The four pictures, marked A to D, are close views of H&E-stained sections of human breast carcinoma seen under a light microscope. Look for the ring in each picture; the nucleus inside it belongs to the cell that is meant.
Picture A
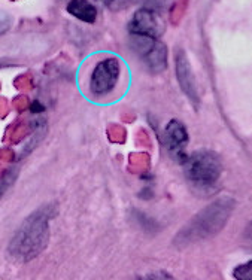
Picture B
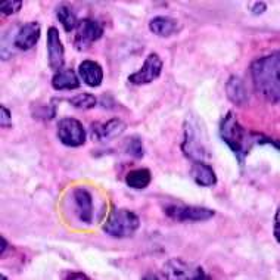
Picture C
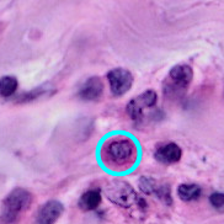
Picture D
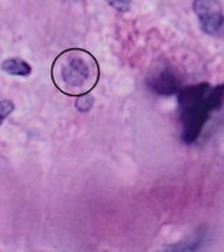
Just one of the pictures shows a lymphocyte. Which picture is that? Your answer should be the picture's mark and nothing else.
B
